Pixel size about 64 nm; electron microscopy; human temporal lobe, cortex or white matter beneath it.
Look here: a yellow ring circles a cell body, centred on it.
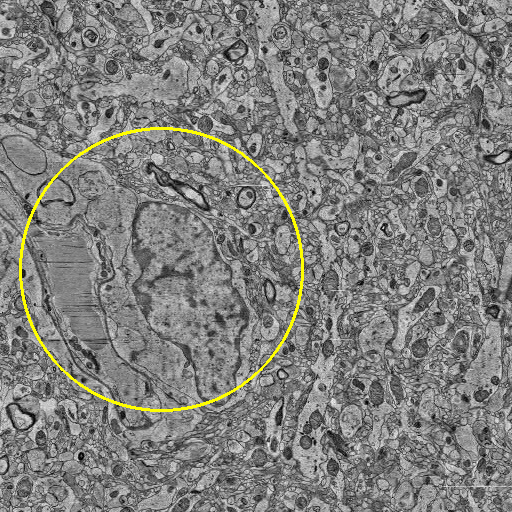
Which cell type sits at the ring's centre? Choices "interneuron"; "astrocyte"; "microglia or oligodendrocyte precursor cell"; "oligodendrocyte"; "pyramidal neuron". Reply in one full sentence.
The cell at the centre of the yellow ring in the picture is a microglial cell or oligodendrocyte precursor cell.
